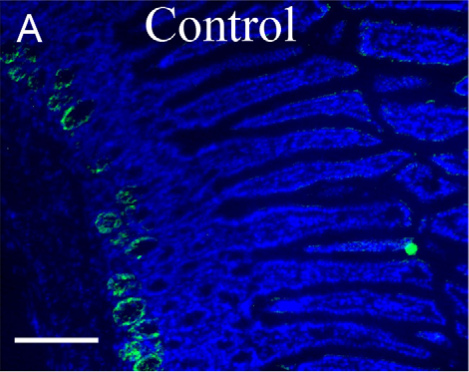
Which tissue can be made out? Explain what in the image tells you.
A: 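Long finger-like villi project in parallel from a base. Rounded crypts line the base of the mucosa beneath the villi.
Small intestinal tissues.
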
